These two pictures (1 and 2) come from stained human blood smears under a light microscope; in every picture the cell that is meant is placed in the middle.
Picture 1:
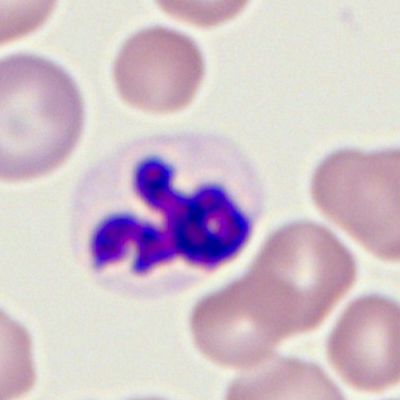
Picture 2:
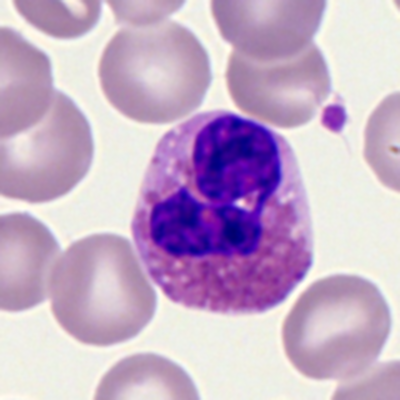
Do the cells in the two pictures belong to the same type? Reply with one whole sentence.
No. Picture 1 shows a segmented neutrophil, but picture 2 shows an eosinophil.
